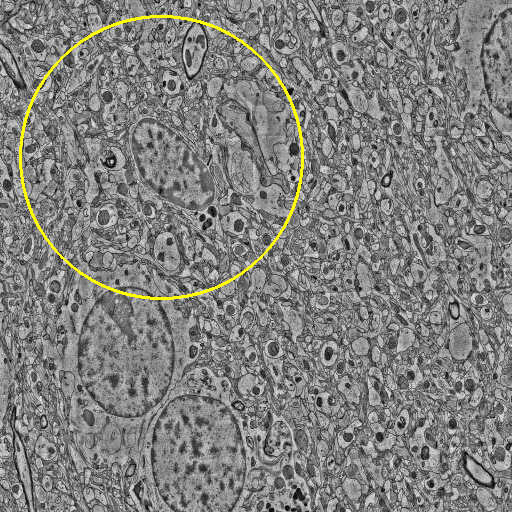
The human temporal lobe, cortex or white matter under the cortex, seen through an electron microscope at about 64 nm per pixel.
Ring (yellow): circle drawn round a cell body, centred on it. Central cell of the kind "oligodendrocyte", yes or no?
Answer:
no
